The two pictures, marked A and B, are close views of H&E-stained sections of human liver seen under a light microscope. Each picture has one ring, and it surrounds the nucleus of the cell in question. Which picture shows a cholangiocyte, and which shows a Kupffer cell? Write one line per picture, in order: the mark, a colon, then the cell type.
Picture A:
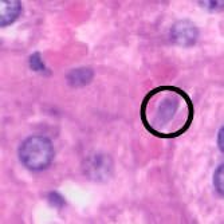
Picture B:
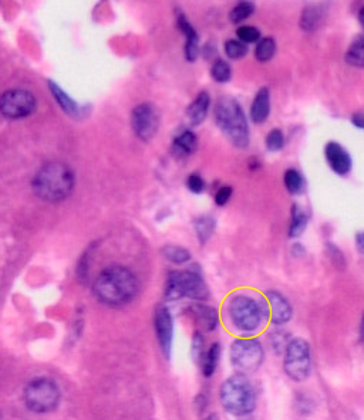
A: Kupffer cell
B: cholangiocyte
